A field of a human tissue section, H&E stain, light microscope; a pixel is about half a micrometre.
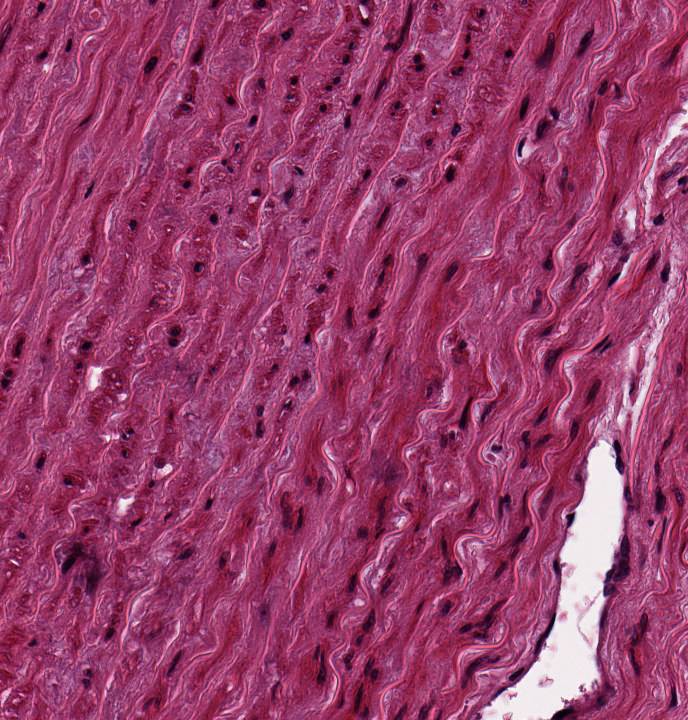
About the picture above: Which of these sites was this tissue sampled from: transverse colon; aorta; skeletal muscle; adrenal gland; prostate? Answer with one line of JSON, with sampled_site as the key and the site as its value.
{"sampled_site": "aorta"}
